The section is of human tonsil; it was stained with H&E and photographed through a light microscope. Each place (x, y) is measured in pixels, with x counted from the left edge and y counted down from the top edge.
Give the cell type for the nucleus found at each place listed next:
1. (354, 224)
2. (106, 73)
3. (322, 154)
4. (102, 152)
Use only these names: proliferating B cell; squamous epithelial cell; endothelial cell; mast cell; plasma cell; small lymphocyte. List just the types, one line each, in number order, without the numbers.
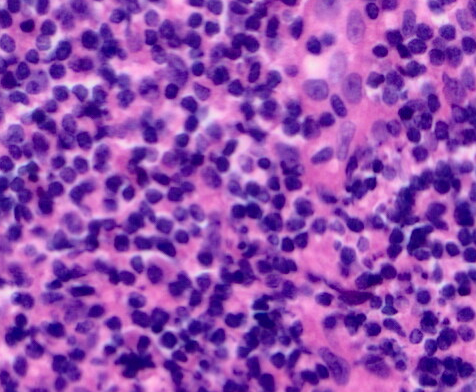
small lymphocyte
small lymphocyte
endothelial cell
small lymphocyte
